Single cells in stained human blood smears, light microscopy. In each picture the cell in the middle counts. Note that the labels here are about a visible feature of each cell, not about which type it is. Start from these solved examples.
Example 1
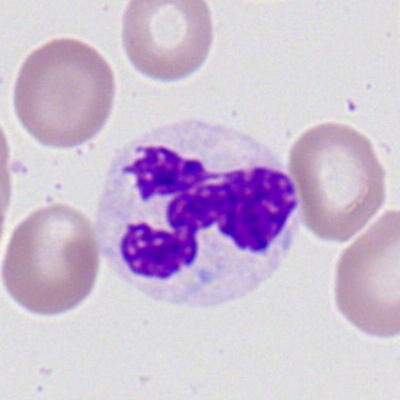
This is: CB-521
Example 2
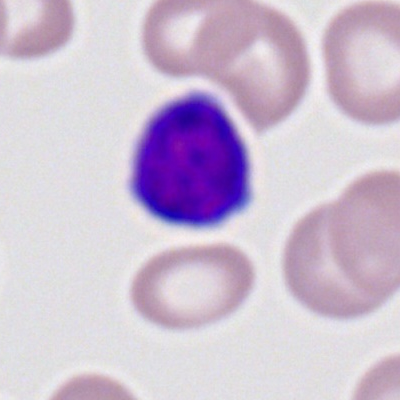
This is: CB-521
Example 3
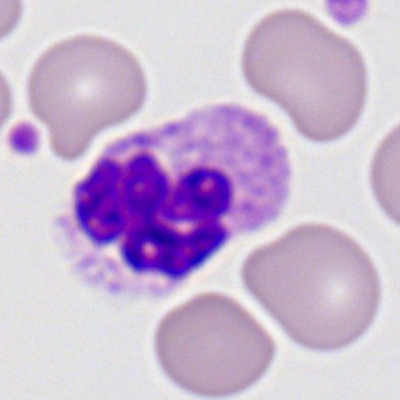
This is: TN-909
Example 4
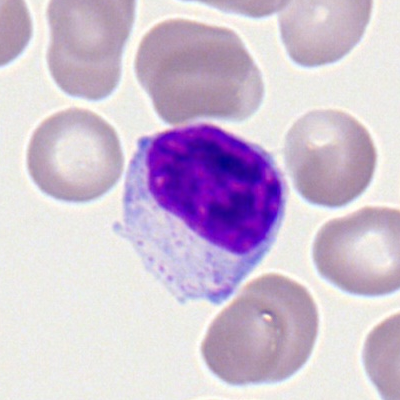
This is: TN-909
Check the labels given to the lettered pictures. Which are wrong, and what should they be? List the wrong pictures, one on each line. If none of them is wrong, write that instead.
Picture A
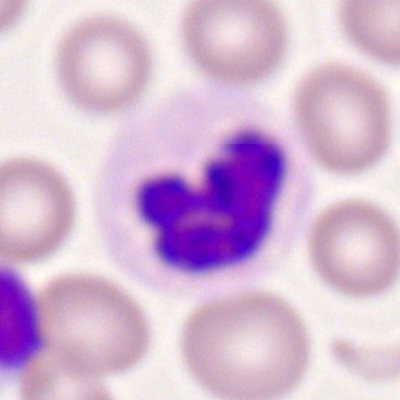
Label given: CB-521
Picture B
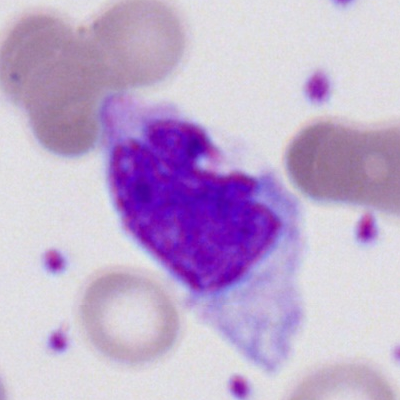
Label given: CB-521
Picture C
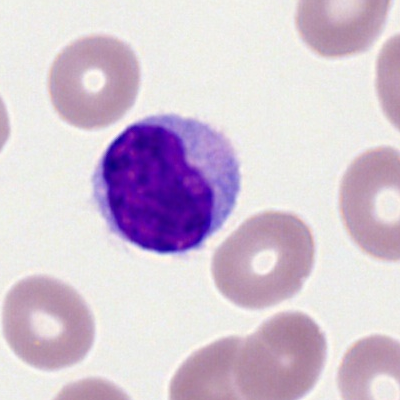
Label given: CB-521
B should be TN-909, not CB-521
C should be TN-909, not CB-521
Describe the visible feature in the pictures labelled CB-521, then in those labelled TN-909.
In CB-521: smooth outline. In TN-909: ragged outline or projections.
